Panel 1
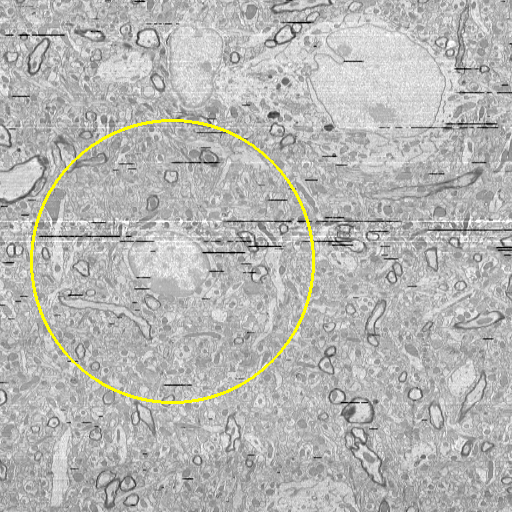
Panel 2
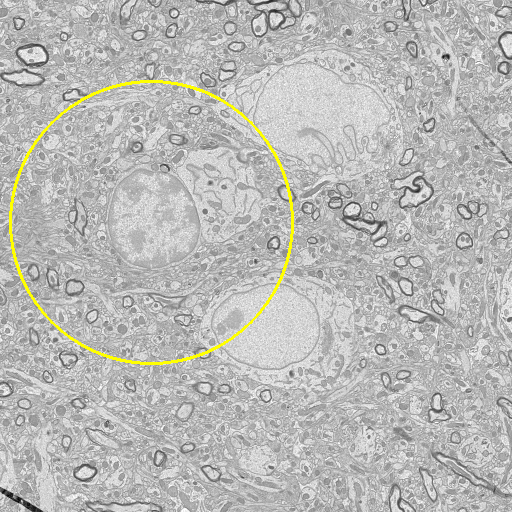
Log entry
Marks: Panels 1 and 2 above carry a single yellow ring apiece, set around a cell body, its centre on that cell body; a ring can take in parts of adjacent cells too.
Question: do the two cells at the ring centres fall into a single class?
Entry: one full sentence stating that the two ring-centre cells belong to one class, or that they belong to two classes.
The two ring-centre cells in Panels 1 and 2 belong to one class.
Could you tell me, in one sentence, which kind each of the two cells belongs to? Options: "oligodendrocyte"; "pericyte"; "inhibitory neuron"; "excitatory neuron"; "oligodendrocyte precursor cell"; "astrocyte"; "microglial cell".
Both pictures show an oligodendrocyte at the centre of the ring.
